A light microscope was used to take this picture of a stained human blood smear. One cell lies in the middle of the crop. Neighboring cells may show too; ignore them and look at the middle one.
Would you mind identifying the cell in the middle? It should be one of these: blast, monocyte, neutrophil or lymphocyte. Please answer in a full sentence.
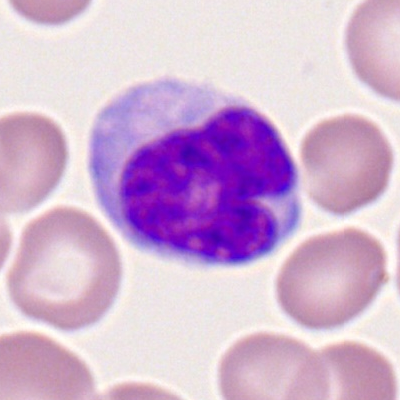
Here the cell in the middle is a monocyte.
